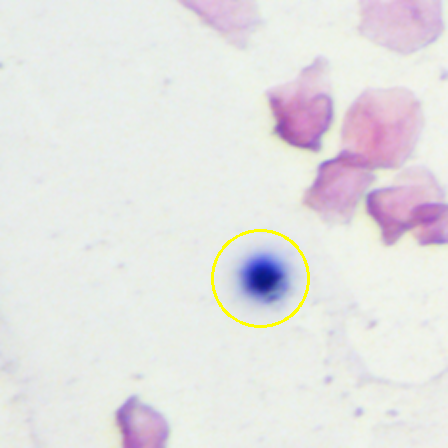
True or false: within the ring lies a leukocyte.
True: a leukocyte lies within the ring.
